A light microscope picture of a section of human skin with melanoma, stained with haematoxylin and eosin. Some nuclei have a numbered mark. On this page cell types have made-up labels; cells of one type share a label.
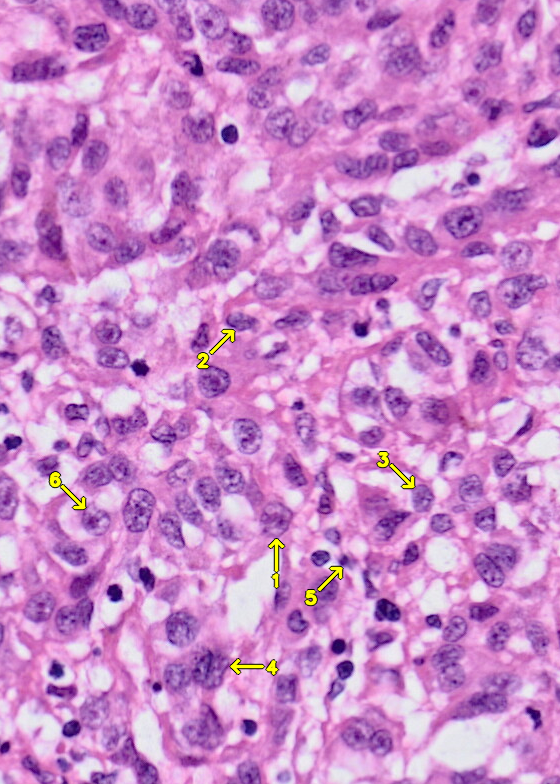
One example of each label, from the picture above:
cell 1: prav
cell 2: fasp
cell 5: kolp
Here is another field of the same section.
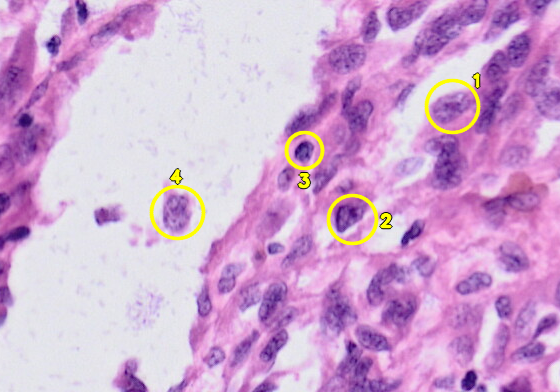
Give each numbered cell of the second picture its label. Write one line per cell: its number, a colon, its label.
1: prav
2: prav
3: kolp
4: prav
